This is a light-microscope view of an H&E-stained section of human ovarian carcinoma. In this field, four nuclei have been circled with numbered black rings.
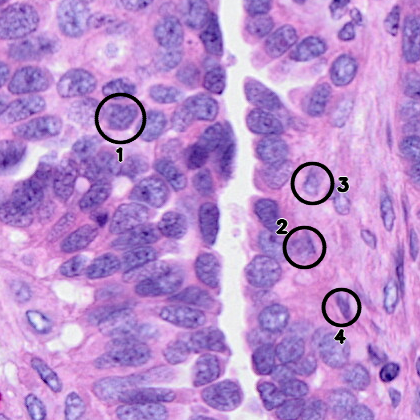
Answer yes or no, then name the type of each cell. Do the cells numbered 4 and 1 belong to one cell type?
No, the cell marked 4 is a fibroblast, and the cell marked 1 is a carcinoma cell.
